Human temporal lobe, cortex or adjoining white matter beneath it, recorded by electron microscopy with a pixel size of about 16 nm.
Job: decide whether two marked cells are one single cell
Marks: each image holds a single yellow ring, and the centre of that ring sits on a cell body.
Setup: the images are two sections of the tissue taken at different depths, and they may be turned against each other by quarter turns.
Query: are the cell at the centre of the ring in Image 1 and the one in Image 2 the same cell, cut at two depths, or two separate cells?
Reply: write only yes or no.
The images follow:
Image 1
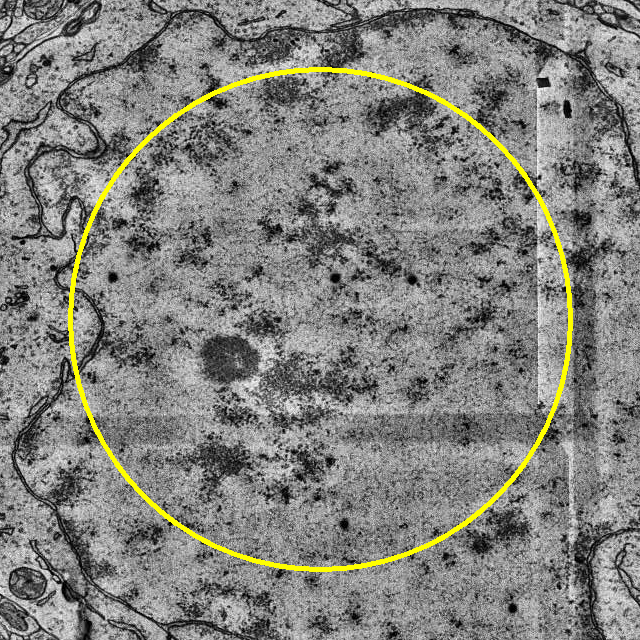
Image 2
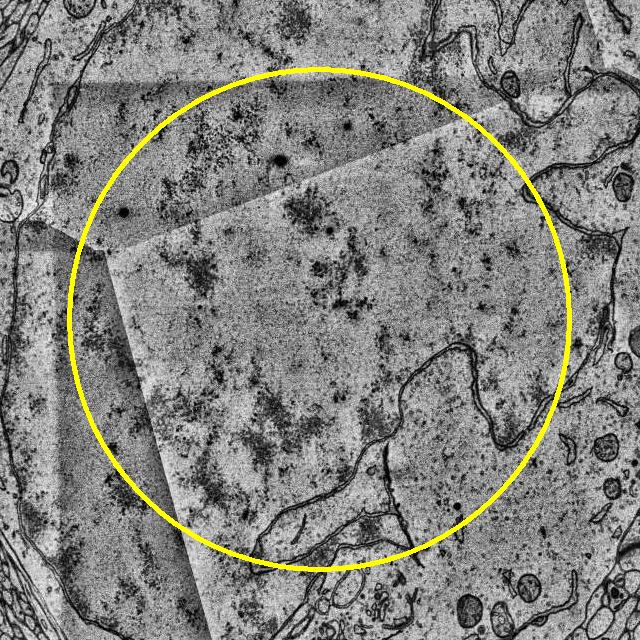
yes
